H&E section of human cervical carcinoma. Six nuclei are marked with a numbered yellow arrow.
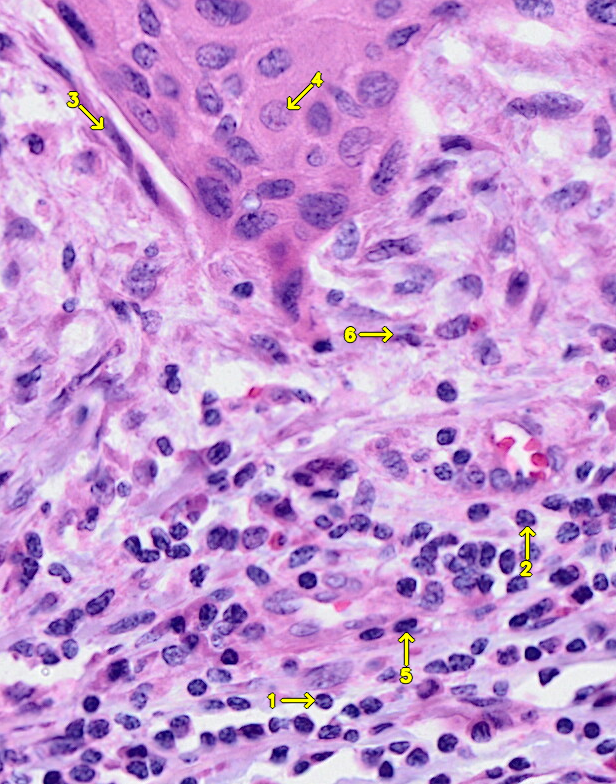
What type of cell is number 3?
fibroblast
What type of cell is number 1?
lymphocyte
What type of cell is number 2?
lymphocyte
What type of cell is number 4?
squamous carcinoma cell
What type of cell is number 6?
fibroblast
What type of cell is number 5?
lymphocyte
